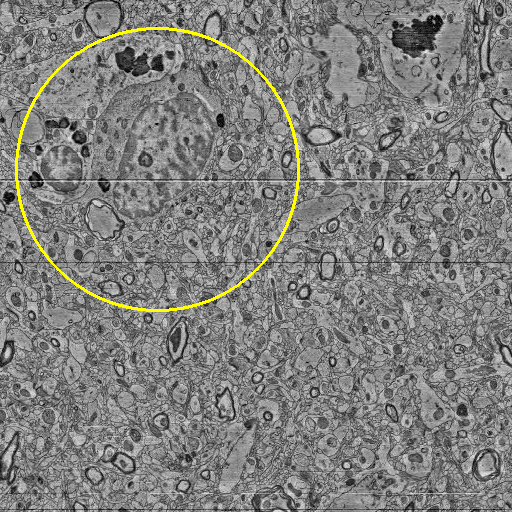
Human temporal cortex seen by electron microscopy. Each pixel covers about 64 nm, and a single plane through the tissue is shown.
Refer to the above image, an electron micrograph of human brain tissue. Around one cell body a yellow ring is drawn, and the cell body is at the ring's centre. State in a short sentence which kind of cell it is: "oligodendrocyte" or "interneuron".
The centre of the ring falls on an oligodendrocyte.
